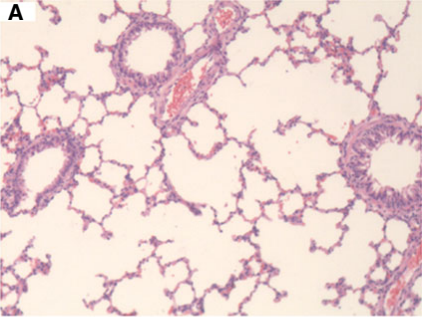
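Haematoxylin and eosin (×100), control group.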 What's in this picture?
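This is lung parenchyma with open alveoli bounded by thin, delicate septa containing few nuclei. Several bronchioles lined by a folded, purple-staining columnar epithelium sit beside small blood vessels containing red cells. The airspaces are clear, without free blood or pink exudate.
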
